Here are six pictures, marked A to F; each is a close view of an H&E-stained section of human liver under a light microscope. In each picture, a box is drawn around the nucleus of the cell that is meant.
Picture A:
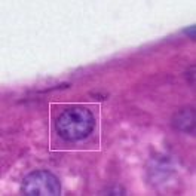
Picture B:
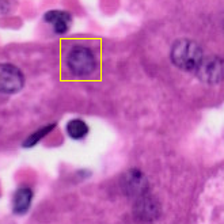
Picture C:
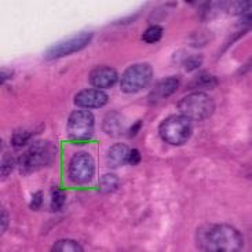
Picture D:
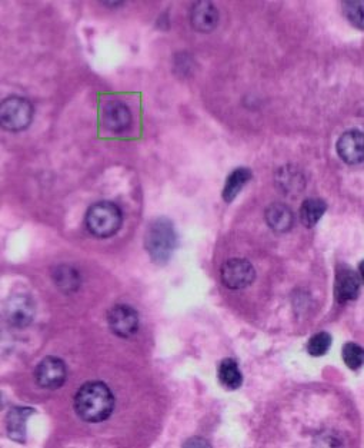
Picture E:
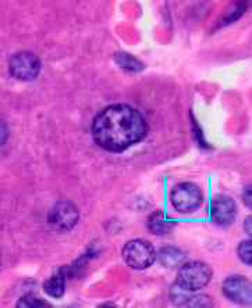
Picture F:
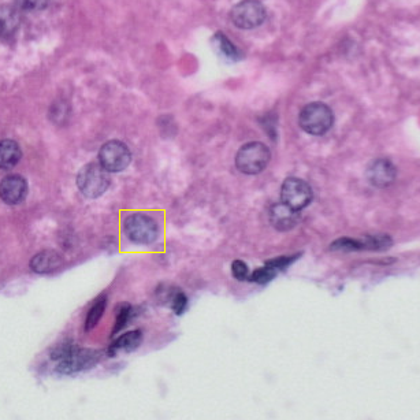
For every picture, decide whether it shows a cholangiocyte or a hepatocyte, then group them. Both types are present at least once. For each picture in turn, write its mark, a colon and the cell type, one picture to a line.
A: hepatocyte
B: hepatocyte
C: cholangiocyte
D: hepatocyte
E: cholangiocyte
F: cholangiocyte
